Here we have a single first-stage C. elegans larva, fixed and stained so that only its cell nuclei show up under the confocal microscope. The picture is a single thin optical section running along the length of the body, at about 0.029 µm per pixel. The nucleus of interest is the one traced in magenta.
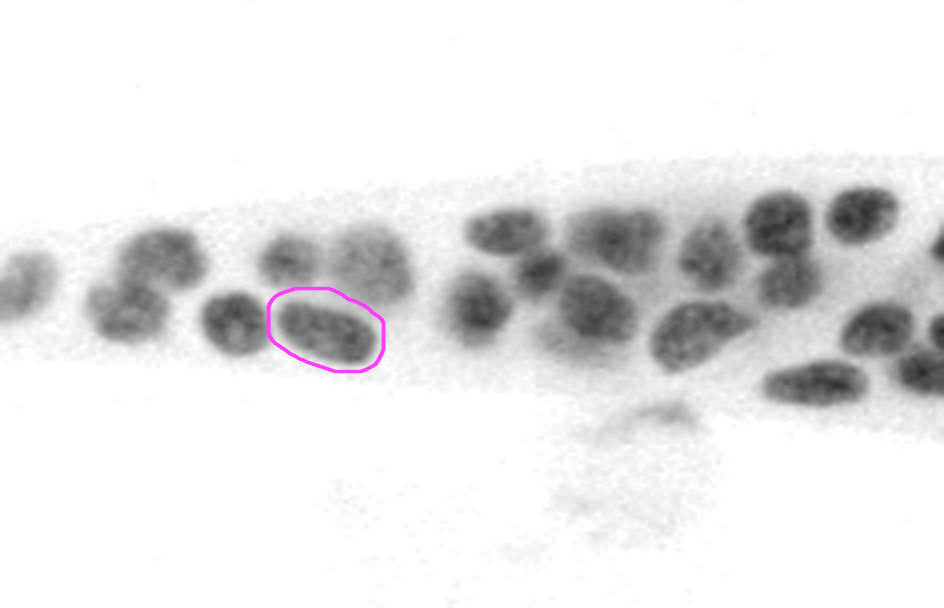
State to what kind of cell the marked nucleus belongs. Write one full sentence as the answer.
The nucleus comes from a hypodermal cell (hyp).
